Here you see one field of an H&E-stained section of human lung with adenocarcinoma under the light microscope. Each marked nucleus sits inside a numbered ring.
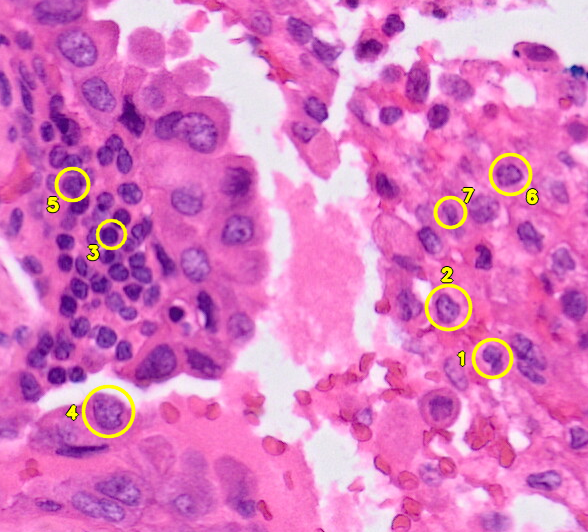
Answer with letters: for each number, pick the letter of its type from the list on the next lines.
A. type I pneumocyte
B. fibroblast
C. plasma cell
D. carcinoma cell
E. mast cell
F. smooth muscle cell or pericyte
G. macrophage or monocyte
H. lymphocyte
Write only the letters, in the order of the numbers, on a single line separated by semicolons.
G; G; H; D; H; G; G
